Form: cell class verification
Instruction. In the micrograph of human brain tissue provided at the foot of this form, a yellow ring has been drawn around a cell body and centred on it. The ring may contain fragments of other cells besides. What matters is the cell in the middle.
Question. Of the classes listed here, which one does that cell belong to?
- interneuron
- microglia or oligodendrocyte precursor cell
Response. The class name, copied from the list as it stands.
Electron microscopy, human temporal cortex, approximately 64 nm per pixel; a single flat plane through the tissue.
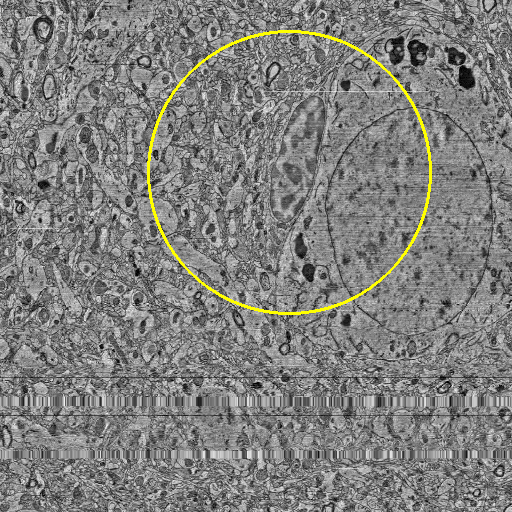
microglia or oligodendrocyte precursor cell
